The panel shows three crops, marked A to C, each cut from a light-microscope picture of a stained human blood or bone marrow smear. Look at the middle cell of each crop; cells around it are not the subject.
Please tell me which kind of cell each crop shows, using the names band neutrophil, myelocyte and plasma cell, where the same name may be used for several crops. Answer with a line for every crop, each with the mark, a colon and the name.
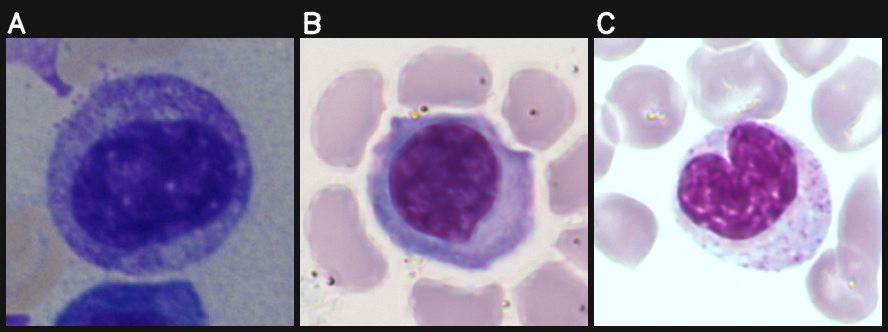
A: myelocyte
B: plasma cell
C: band neutrophil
